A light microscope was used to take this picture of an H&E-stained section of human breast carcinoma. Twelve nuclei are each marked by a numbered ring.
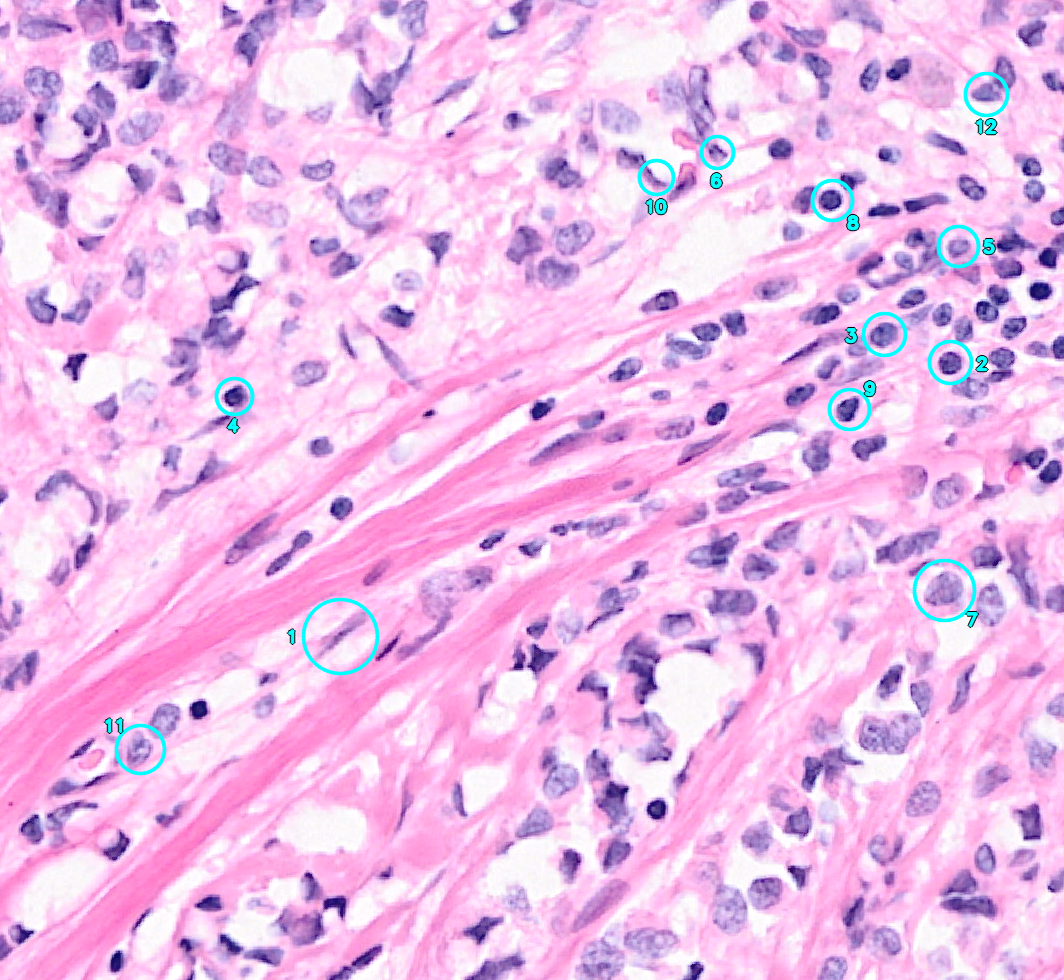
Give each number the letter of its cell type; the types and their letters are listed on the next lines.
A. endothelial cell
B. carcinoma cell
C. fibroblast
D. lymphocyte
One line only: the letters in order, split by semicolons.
C; D; D; D; D; A; B; D; D; A; A; D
